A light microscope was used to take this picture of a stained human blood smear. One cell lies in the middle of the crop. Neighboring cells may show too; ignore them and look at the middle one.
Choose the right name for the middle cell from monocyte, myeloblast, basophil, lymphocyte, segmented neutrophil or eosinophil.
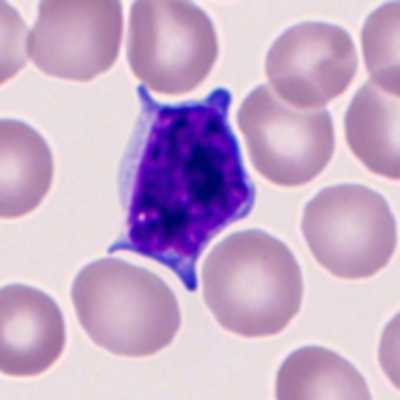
lymphocyte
